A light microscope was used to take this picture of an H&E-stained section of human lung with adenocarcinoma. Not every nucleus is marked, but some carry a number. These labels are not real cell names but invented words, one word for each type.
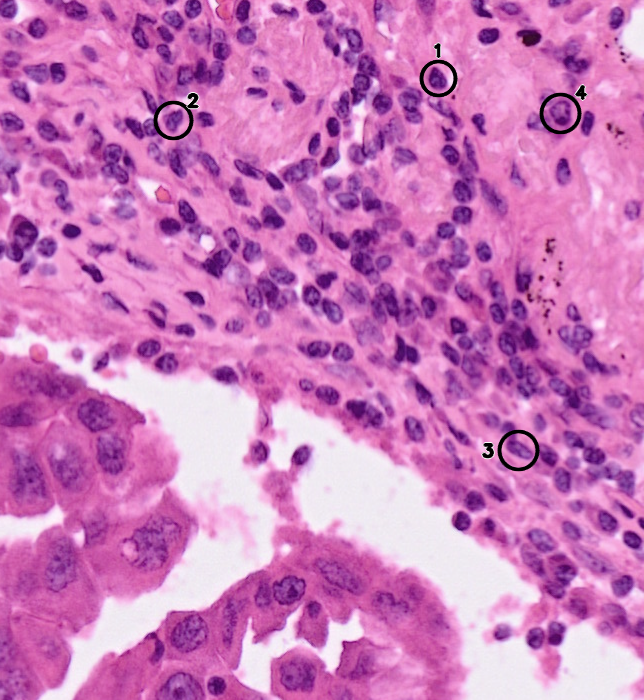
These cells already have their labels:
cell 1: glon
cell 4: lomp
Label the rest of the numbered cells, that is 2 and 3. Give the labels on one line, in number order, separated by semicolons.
glon; glon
